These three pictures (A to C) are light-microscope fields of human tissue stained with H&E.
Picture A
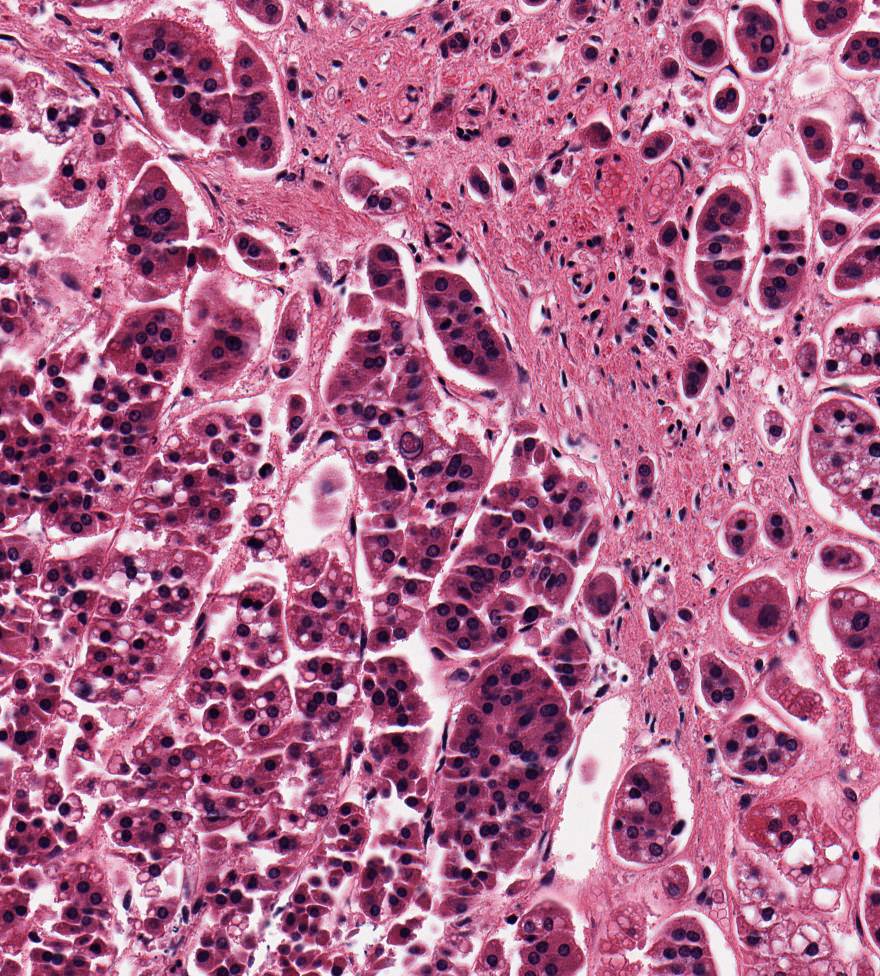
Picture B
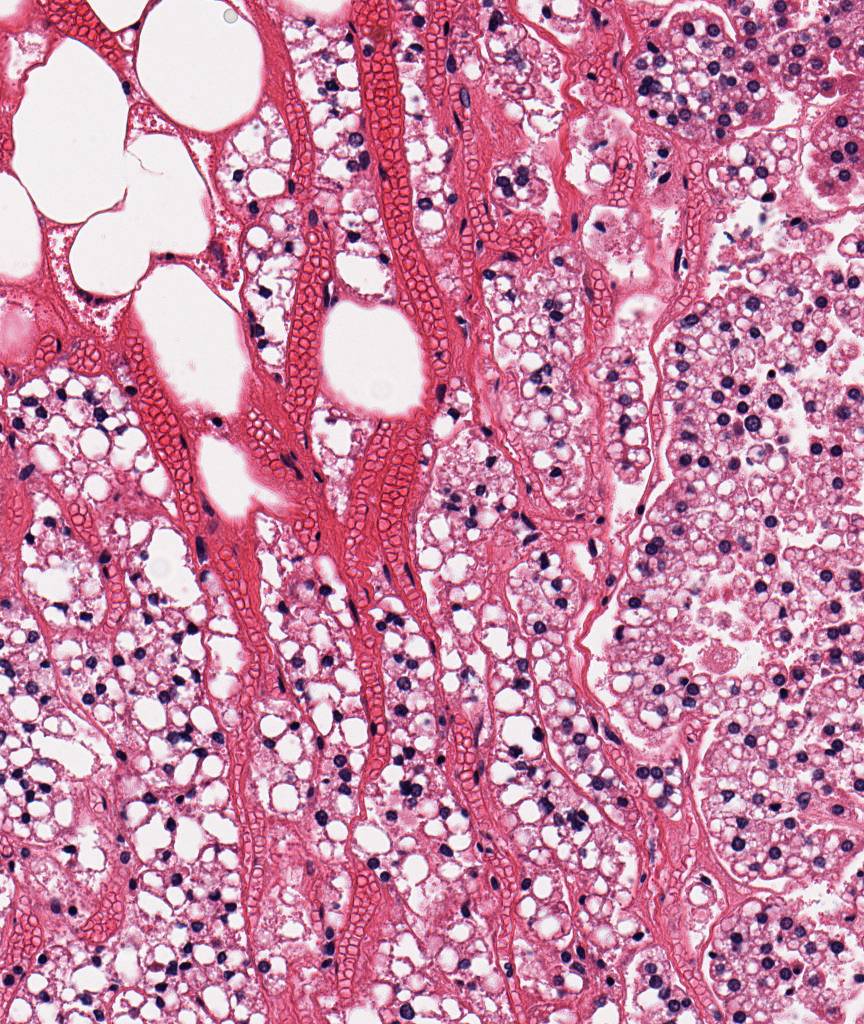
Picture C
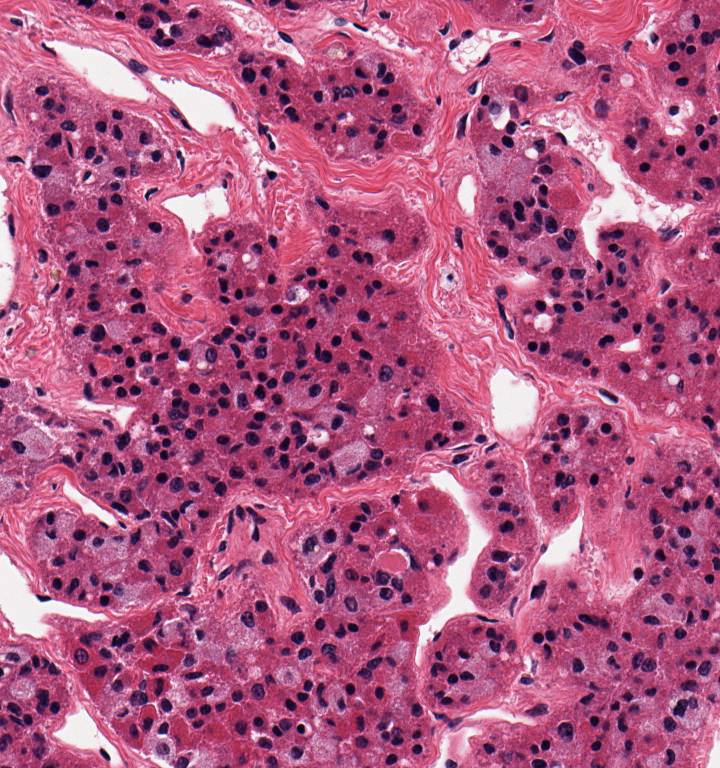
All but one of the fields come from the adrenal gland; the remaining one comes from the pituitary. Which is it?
C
